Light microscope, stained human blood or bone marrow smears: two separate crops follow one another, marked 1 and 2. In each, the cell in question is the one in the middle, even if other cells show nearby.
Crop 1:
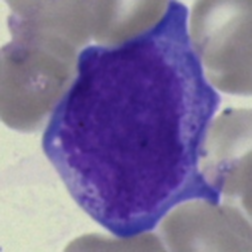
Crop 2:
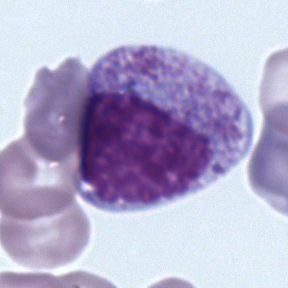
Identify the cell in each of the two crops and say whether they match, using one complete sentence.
No, crop 1 contains a blast, whereas crop 2 contains a myelocyte.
